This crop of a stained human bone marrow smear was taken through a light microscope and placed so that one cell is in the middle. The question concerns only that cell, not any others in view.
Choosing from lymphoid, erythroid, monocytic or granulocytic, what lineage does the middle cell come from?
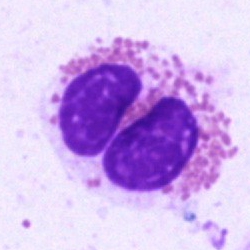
granulocytic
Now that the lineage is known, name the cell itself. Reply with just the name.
eosinophil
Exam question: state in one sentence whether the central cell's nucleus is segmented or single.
In short, this nucleus is segmented into two or more parts.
